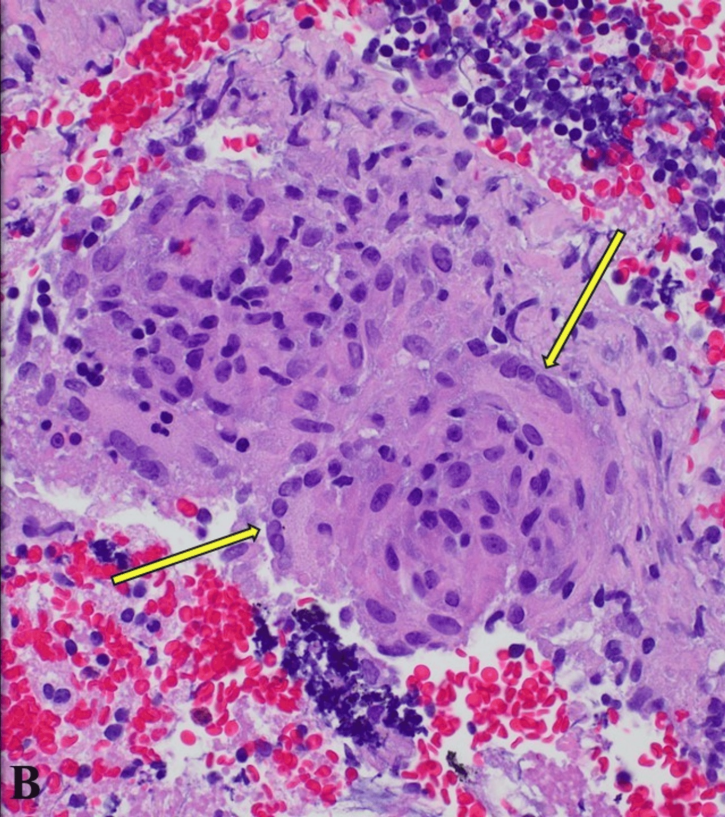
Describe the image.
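A granuloma made of epithelioid histiocytes with a multinucleated giant cell is seen at high power. The histiocytes have abundant pale pink cytoplasm with indistinct borders and oval to elongated pale nuclei, and a large cell with many nuclei, several lined along its rim, sits among them. Small round dark lymphocytes gather at the top right, and red blood cells surround the granuloma.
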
